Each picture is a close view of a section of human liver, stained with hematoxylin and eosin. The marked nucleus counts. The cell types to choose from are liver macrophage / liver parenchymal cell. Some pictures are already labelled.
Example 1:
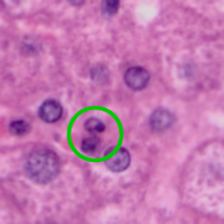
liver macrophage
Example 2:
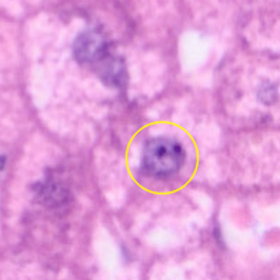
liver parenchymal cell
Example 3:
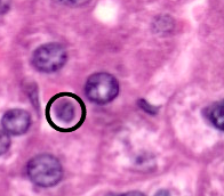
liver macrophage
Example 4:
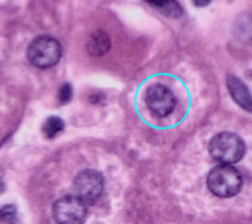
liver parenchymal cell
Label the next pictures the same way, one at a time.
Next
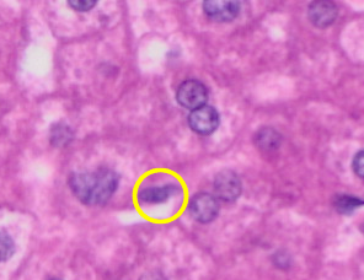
liver macrophage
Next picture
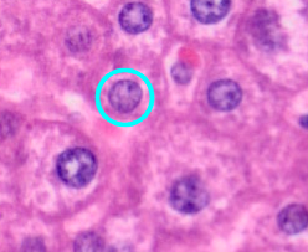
liver parenchymal cell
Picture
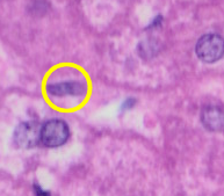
liver macrophage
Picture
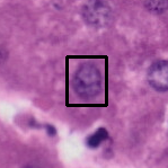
liver parenchymal cell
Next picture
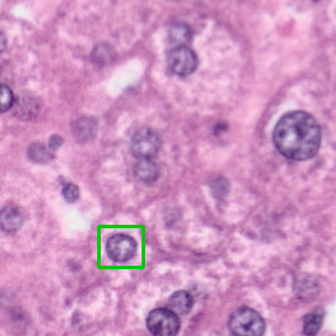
liver parenchymal cell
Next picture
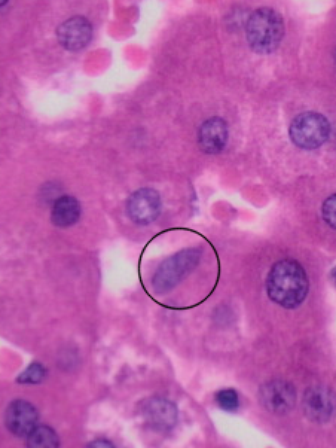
liver macrophage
